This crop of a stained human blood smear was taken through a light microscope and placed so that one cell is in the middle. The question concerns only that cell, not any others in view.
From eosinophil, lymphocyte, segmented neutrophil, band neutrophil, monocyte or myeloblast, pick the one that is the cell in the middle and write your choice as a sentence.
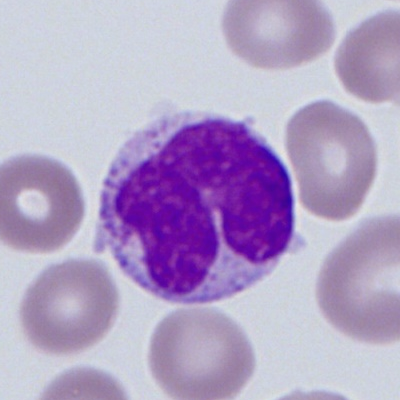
In the middle of this smear crop is a monocyte.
